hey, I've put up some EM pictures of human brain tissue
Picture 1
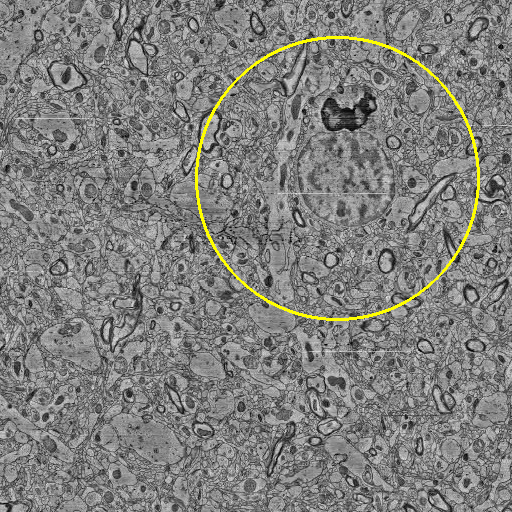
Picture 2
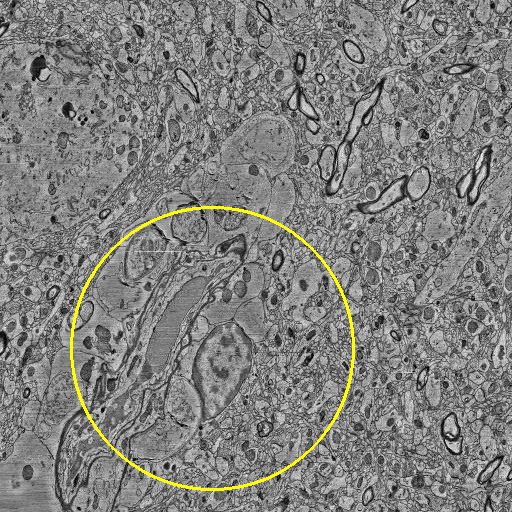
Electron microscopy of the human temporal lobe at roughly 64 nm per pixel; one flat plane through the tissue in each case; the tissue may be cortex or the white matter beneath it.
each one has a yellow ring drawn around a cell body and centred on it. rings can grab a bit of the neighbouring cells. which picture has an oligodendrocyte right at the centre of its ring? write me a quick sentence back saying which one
It's Picture 1.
